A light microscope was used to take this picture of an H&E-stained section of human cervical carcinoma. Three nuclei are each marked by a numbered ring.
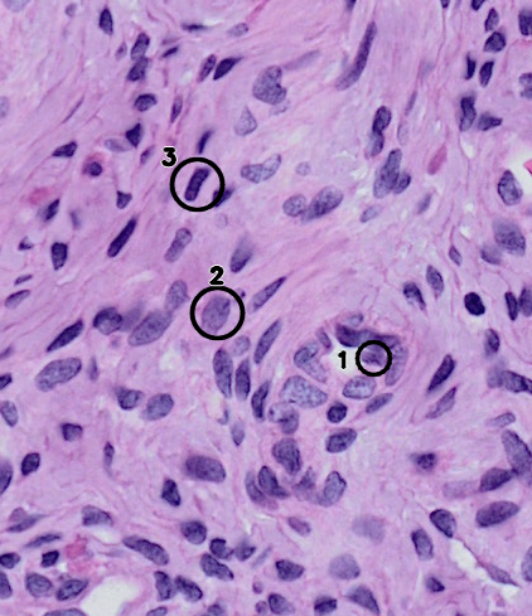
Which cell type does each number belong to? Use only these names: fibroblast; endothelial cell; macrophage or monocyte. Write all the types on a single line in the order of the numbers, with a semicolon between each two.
endothelial cell; fibroblast; fibroblast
